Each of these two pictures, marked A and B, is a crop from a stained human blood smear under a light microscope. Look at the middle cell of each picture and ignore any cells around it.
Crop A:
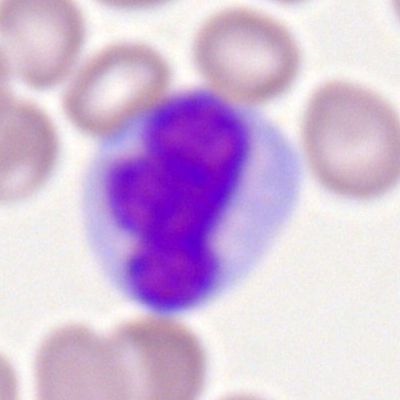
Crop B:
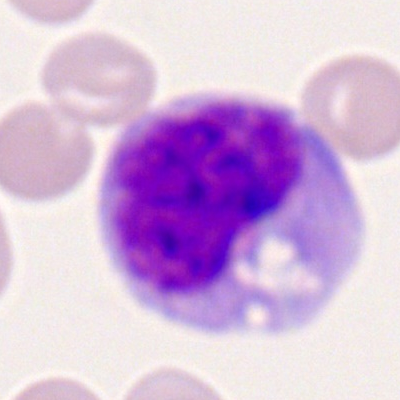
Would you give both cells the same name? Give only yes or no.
yes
